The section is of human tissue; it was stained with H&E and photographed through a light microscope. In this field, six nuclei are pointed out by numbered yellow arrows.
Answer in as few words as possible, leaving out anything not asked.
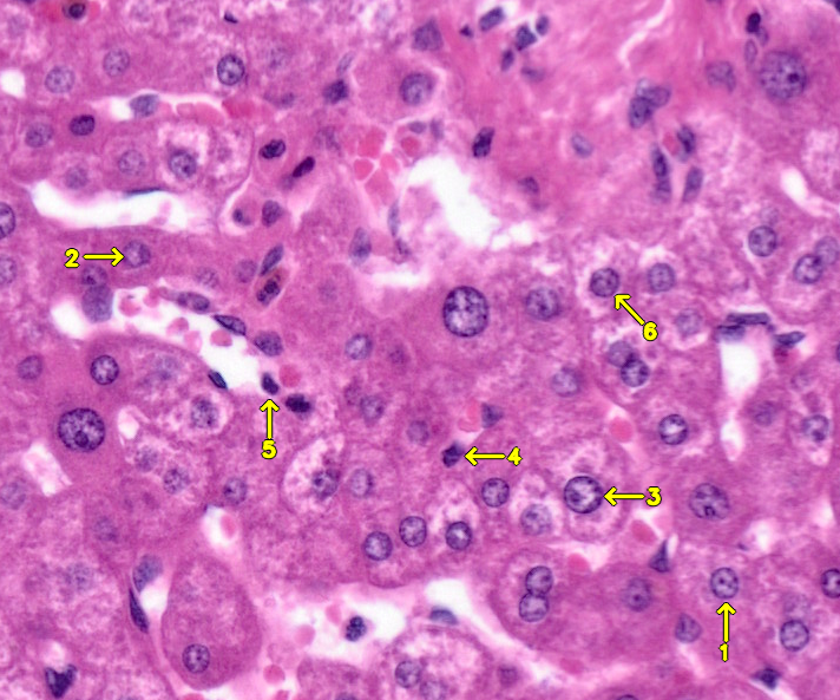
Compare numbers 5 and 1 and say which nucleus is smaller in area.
5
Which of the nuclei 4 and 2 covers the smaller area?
4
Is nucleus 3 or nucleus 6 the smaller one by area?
6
